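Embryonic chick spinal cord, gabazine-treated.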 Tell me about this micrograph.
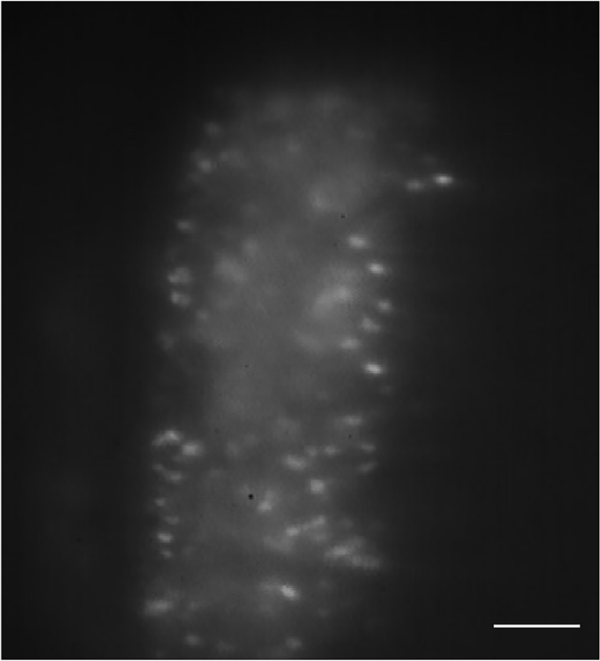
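Against a dark background lies an elongated, upright band of faint diffuse fluorescence with a squared top, like a strip of tissue. Scattered through it are many small, bright, roughly round or oval spots of similar size. They cluster more densely along the band's edges and in its lower part, and a few sit in short rows near the upper right. Most spots have soft, blurred borders, so several may be slightly out of focus. No processes can be traced from them.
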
